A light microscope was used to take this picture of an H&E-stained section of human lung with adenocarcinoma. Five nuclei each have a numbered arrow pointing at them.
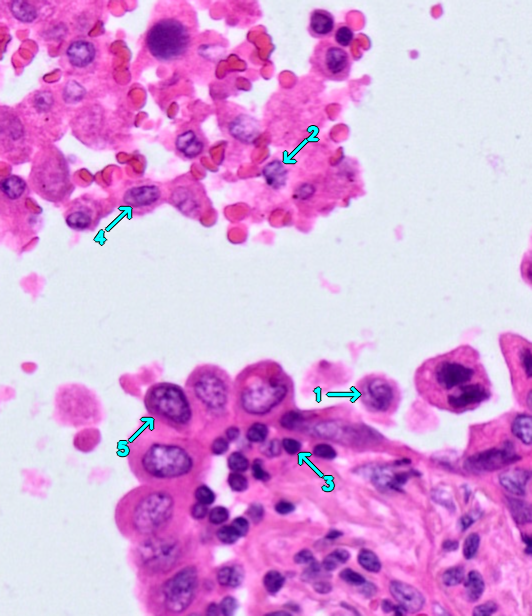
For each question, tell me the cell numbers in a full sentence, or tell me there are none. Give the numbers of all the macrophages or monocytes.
Here, the cells that carry numbers 2 and 4 are macrophages or monocytes.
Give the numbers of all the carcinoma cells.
The cells bearing the numbers 1 and 5 are carcinoma cells.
